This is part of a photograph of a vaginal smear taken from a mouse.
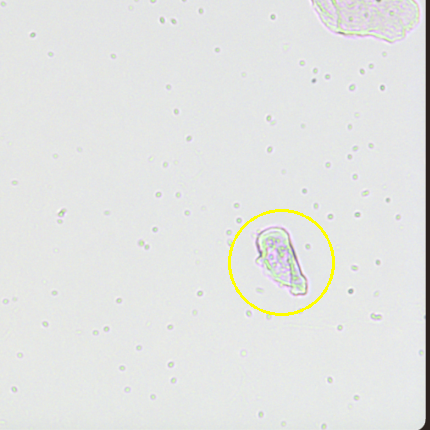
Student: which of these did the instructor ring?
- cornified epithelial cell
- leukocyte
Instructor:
The cell I ringed is a cornified epithelial cell.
